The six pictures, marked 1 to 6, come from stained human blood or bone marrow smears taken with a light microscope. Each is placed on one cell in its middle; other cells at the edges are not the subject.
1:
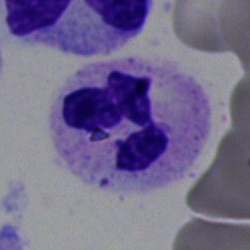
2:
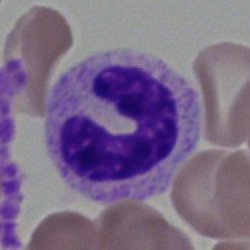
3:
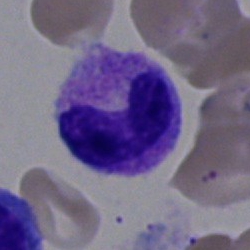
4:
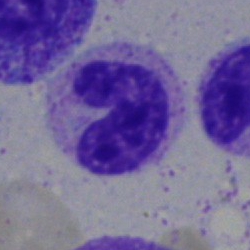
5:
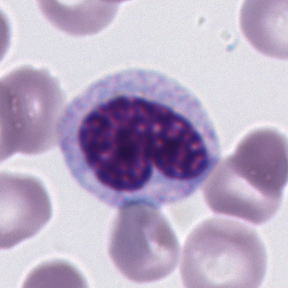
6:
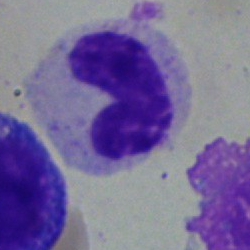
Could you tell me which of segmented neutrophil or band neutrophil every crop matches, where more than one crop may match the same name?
1: segmented neutrophil
2: band neutrophil
3: band neutrophil
4: band neutrophil
5: band neutrophil
6: band neutrophil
